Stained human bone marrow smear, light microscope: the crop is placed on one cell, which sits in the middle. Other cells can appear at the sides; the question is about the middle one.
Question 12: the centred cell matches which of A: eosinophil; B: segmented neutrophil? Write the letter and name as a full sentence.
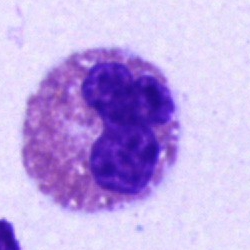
Option A correctly names the cell in the middle as an eosinophil.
